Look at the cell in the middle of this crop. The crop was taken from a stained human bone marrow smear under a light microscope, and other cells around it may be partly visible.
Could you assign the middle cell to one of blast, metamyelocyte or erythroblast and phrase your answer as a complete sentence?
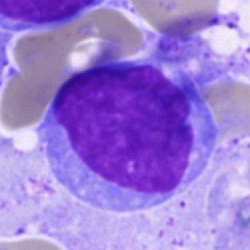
What the crop centres on is a blast.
